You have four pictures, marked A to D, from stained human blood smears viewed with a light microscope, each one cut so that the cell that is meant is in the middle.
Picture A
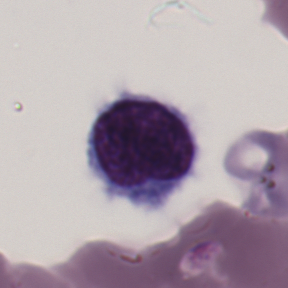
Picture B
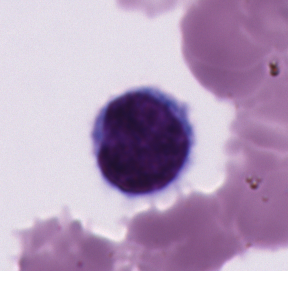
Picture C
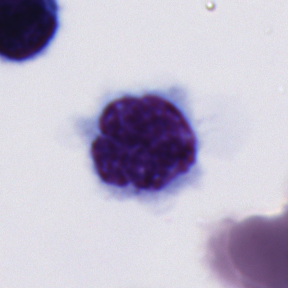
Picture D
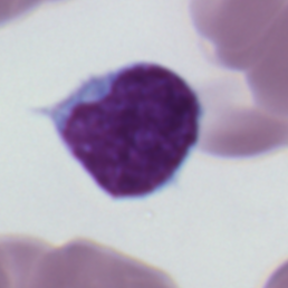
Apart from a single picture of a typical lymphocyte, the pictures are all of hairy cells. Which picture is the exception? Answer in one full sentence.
It is picture D that shows the typical lymphocyte.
